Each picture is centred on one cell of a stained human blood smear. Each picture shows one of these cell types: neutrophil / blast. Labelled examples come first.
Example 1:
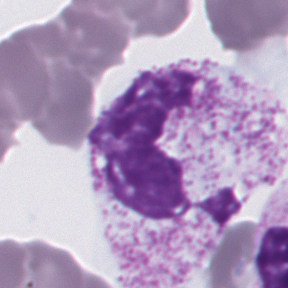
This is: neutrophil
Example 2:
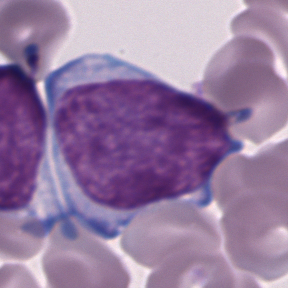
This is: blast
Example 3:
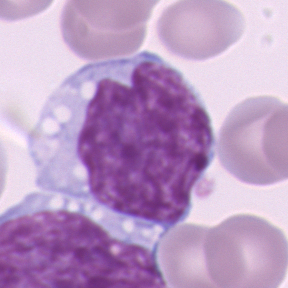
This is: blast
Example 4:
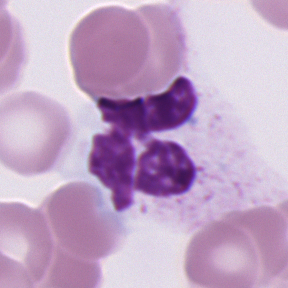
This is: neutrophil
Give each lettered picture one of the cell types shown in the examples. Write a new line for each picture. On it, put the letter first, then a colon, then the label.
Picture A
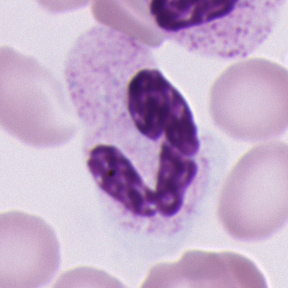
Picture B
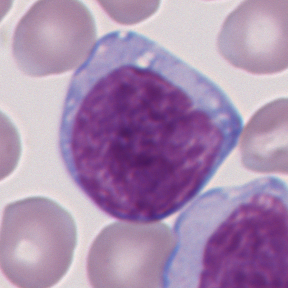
A: neutrophil
B: blast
